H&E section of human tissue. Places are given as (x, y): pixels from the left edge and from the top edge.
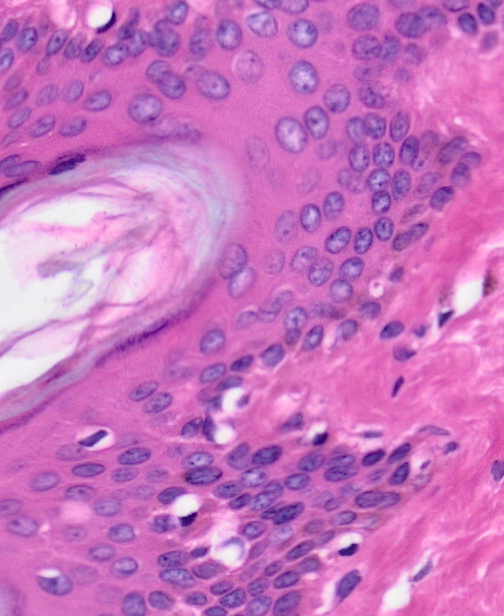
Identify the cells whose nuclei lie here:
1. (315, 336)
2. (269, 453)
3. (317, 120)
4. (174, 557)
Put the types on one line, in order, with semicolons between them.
basal keratinocyte; basal keratinocyte; suprabasal keratinocyte; basal keratinocyte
